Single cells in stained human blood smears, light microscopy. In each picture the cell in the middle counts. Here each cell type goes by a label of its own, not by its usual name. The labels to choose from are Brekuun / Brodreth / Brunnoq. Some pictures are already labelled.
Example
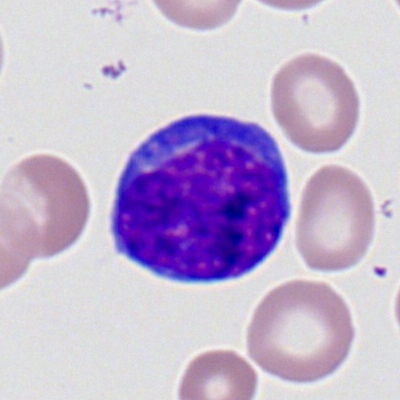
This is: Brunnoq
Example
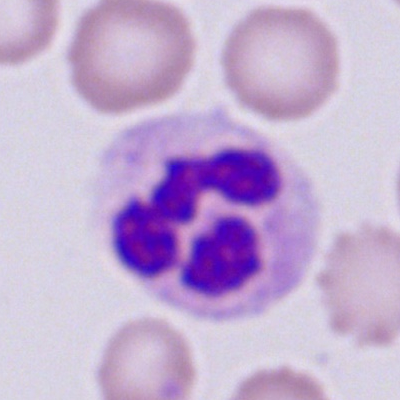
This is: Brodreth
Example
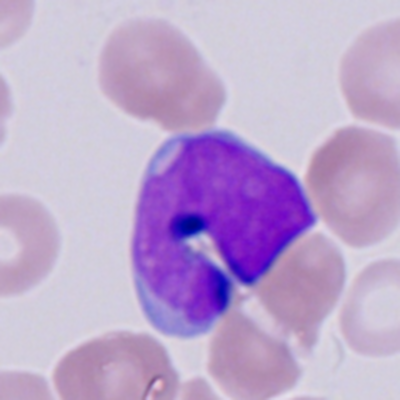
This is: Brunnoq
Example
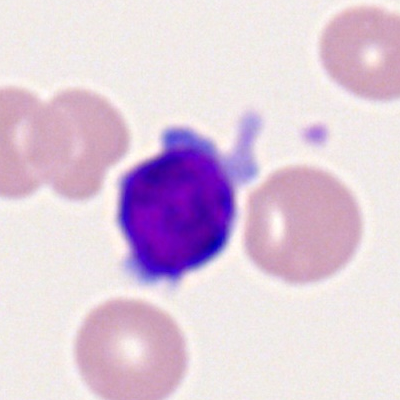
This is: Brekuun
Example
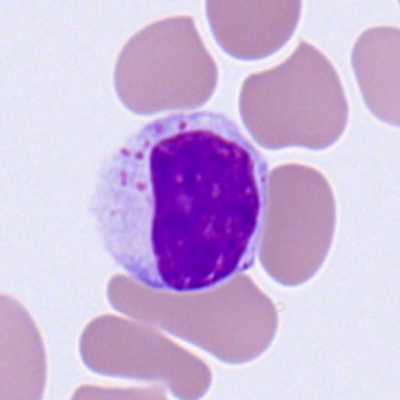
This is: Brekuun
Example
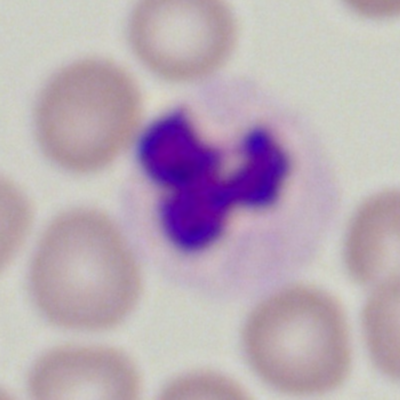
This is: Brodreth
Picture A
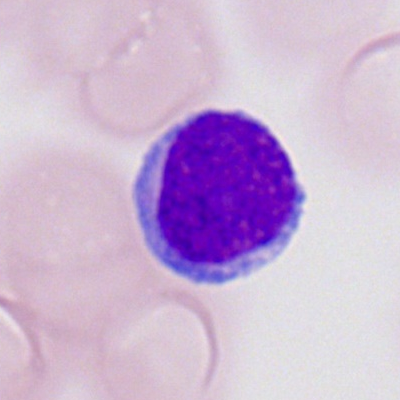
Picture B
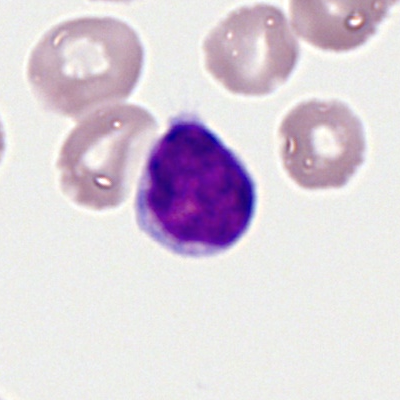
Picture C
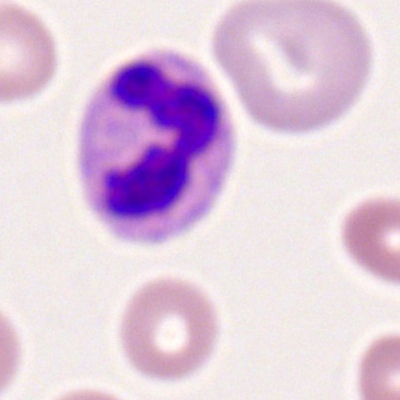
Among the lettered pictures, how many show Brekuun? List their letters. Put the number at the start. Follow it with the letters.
2, namely A, B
